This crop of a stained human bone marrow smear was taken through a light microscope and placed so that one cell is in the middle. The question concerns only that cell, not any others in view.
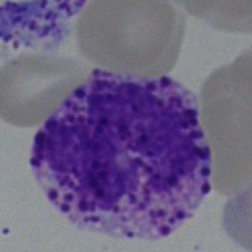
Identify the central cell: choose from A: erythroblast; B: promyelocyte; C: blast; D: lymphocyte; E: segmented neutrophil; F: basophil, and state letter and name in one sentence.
It is a basophil that occupies the centre of the crop, so option F is correct.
